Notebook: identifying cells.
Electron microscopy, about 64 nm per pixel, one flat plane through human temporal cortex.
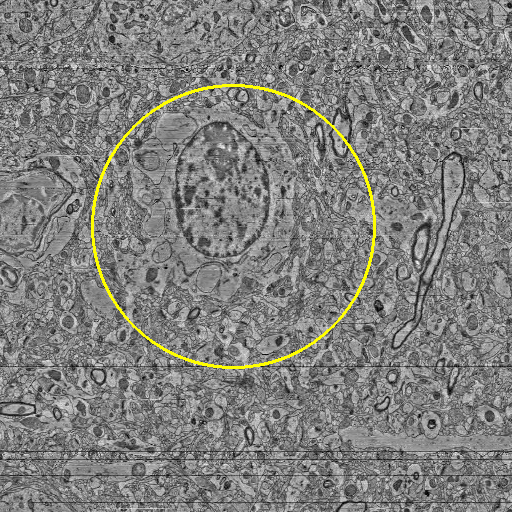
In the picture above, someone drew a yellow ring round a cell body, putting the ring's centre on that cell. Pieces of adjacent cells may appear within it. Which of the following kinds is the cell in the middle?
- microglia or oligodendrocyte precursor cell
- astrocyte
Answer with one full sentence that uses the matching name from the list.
In this picture, the yellow ring is centred on the body of an astrocyte.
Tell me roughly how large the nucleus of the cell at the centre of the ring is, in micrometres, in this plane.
In this plane the nucleus is roughly 9 by 6 micrometres, clearly longer than it is wide.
